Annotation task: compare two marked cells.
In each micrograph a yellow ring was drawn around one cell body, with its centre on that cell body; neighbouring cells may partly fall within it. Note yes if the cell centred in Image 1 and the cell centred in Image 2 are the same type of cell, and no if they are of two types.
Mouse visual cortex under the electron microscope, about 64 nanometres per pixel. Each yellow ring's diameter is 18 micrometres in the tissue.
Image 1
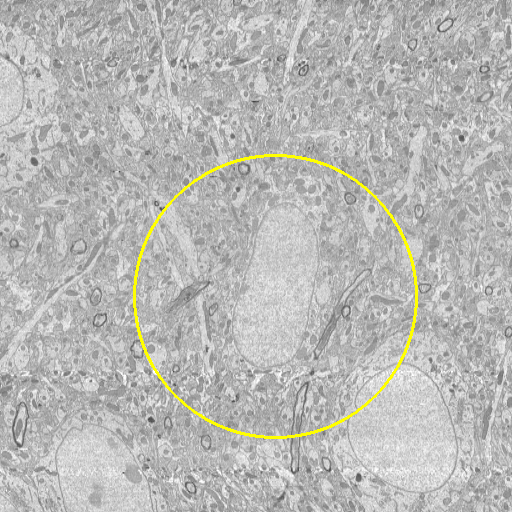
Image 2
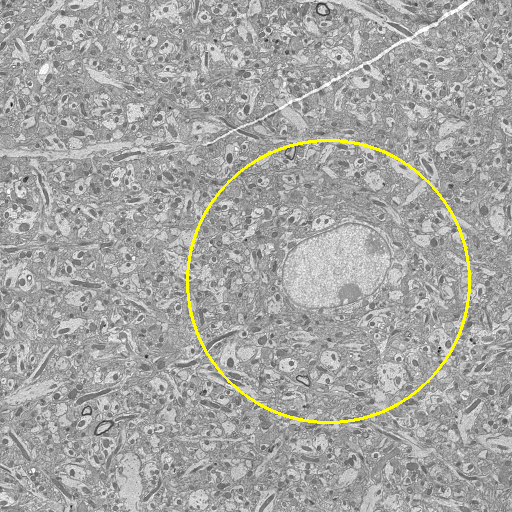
yes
